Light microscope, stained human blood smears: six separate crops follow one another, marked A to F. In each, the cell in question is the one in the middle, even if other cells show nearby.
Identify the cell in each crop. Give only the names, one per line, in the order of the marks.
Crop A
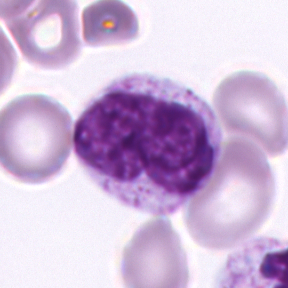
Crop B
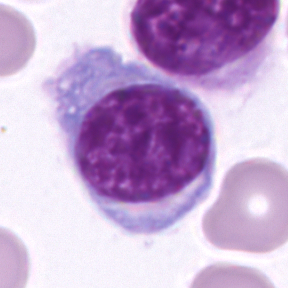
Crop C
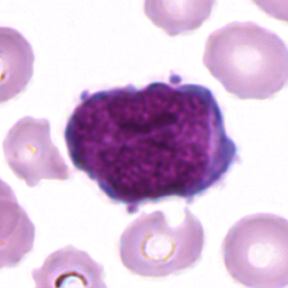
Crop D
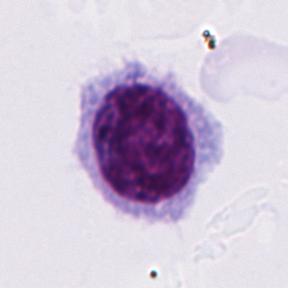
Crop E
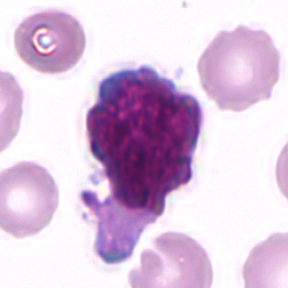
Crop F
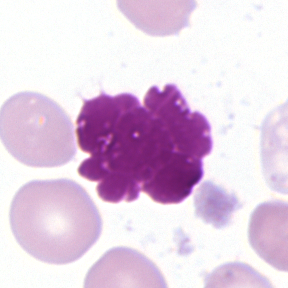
metamyelocyte
plasma cell
atypical promyelocyte
hairy cell
atypical promyelocyte
smudge cell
